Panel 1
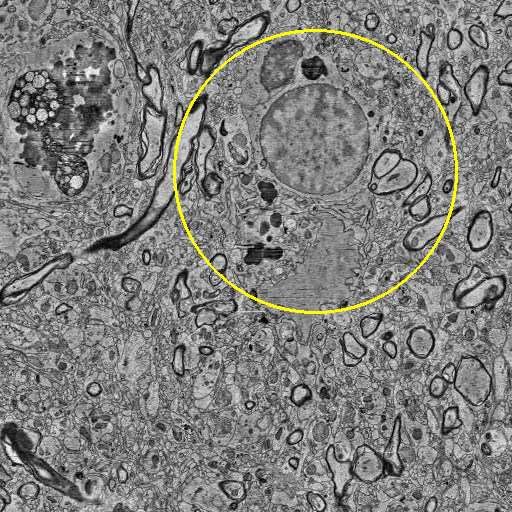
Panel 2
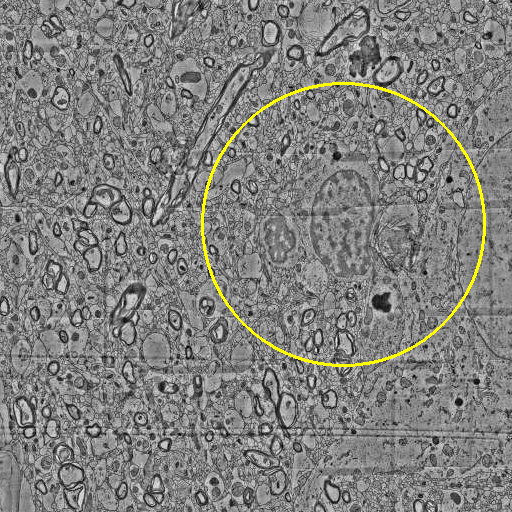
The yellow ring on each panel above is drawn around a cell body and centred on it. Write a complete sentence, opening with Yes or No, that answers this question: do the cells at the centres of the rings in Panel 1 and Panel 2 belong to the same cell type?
Yes, both cells belong to the same cell type.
